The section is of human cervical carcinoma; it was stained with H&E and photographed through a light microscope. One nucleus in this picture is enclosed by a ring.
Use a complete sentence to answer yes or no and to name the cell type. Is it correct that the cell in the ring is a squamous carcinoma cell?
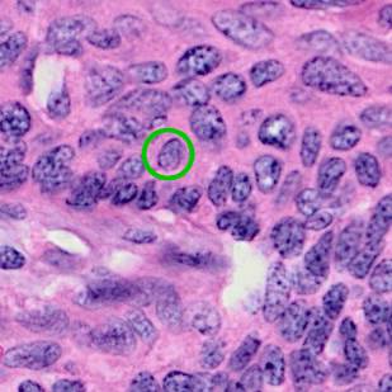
Yes, as far as cell type goes, the cell in the ring is a squamous carcinoma cell.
